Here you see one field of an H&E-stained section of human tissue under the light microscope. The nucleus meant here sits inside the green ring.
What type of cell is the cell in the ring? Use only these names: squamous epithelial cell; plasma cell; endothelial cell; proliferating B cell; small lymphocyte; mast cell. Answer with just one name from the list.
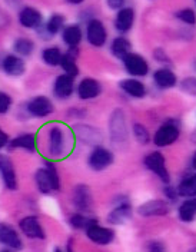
endothelial cell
